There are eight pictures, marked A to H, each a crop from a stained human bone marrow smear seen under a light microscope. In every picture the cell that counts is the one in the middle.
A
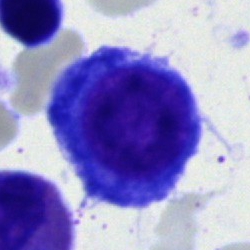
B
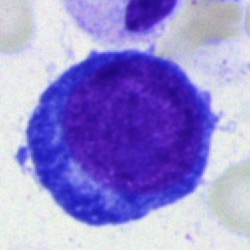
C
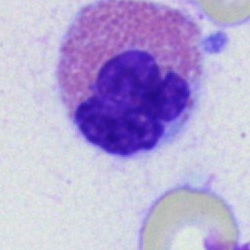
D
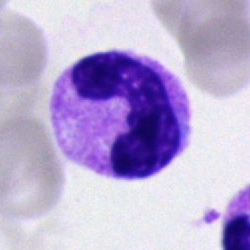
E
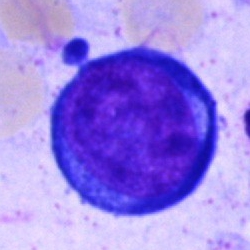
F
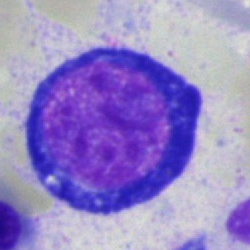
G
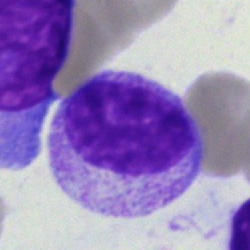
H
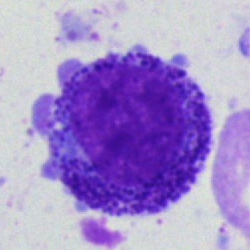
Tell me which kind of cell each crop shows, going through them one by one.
A: proerythroblast
B: proerythroblast
C: eosinophil
D: band neutrophil
E: proerythroblast
F: proerythroblast
G: myelocyte
H: promyelocyte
